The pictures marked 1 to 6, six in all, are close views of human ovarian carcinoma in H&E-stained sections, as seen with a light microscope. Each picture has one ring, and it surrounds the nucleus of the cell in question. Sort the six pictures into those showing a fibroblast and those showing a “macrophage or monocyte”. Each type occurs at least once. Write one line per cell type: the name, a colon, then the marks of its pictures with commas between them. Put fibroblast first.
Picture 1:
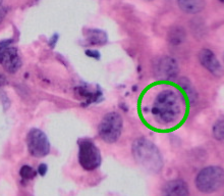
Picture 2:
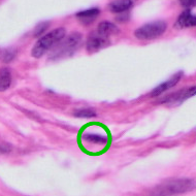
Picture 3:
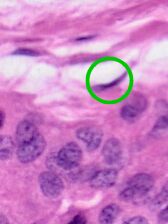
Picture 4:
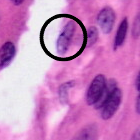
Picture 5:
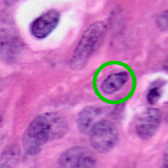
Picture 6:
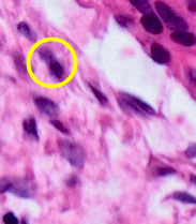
fibroblast: 2, 3, 6
macrophage or monocyte: 1, 4, 5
